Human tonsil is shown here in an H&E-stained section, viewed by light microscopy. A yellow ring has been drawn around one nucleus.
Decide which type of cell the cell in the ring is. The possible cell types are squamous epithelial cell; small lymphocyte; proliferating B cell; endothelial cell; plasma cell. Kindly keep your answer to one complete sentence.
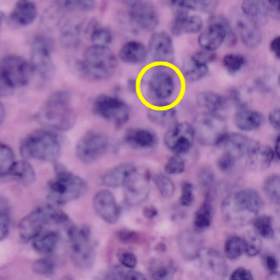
So far as cell type goes, the cell in the ring is a proliferating B cell.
